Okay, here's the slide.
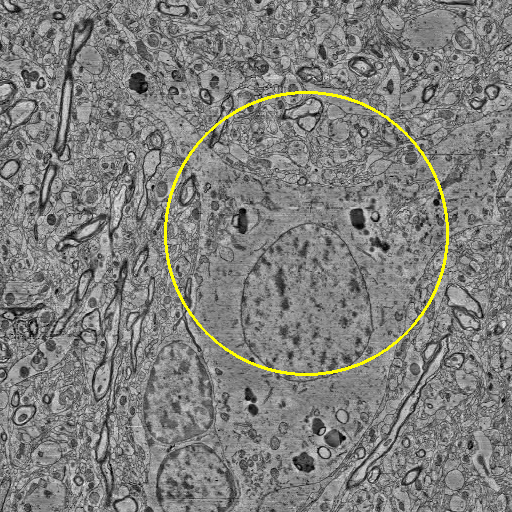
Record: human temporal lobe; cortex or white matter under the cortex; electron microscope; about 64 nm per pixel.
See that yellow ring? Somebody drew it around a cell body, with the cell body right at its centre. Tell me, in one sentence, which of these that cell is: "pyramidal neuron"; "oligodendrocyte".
The cell in the middle of the ring is a pyramidal neuron.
